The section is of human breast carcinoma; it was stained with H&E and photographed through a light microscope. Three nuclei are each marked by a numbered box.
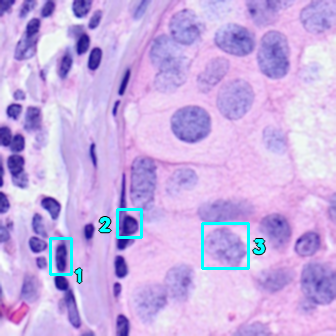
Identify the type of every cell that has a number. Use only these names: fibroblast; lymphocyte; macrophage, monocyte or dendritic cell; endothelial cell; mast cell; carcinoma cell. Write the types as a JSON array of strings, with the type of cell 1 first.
["lymphocyte", "lymphocyte", "carcinoma cell"]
